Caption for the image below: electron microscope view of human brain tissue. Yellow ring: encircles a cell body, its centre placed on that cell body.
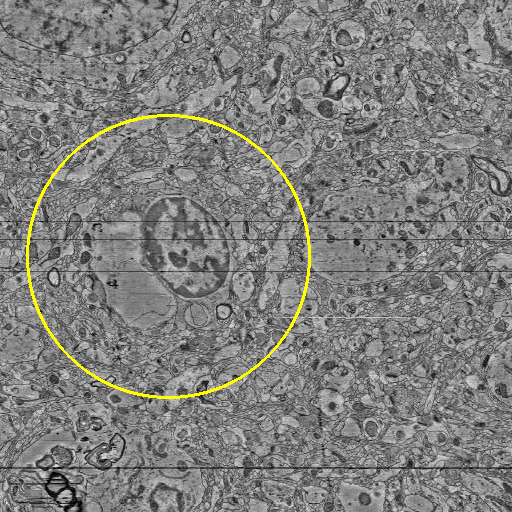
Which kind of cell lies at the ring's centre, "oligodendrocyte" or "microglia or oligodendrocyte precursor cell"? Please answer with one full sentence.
The picture shows a microglial cell or oligodendrocyte precursor cell at the centre of the yellow ring.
